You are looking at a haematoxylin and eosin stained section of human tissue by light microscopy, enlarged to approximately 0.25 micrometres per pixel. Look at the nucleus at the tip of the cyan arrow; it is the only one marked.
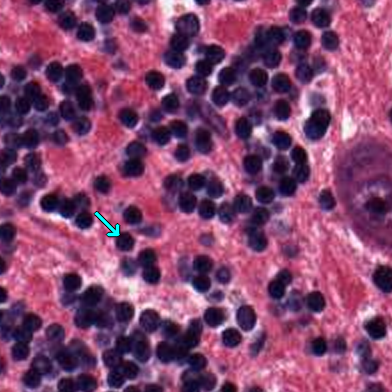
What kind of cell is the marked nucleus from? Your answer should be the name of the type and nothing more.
cerebellar granule cell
